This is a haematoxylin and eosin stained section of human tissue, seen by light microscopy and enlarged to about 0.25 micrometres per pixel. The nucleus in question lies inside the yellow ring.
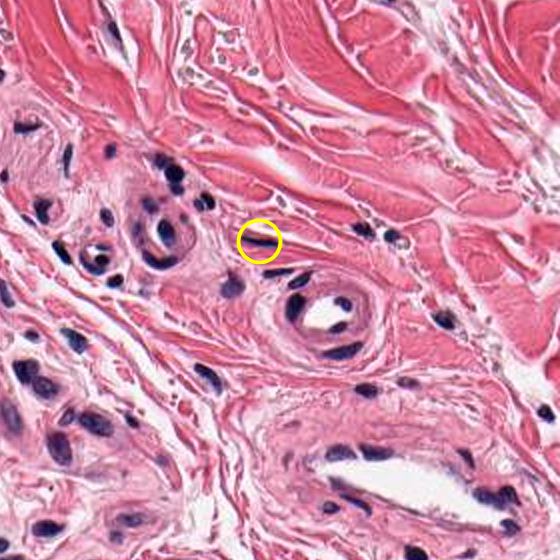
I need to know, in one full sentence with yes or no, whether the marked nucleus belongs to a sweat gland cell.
No, the marked nucleus, rather than belonging to a sweat gland cell, belongs to a supporting cell.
